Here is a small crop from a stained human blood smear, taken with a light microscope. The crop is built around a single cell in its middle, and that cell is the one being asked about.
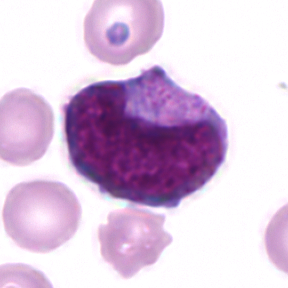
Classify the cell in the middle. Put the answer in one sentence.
The crop shows an atypical promyelocyte in its centre.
